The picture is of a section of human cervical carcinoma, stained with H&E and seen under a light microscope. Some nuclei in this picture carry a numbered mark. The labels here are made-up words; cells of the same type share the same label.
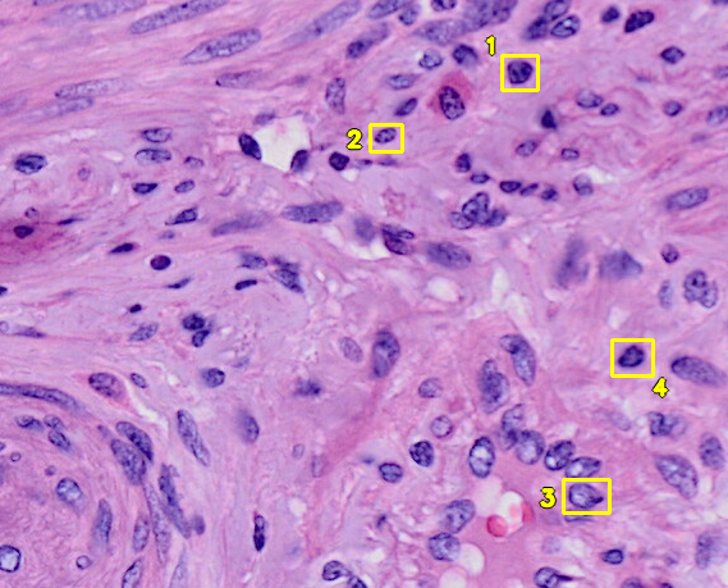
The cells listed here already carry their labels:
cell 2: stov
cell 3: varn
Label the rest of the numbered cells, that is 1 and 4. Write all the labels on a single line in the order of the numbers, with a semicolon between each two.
stov; stov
